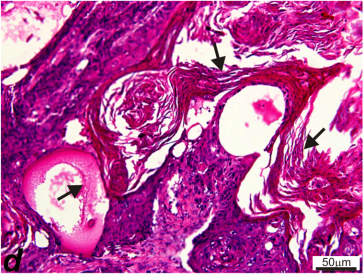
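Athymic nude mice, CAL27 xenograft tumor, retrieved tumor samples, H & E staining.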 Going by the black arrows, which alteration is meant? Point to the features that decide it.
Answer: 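Keratinized tissues. The arrows point to bright pink, acellular, layered material. The pink material forms concentric, wavy lamellae between nests of tumor cells. A round pink acellular body lies at the lower left.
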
